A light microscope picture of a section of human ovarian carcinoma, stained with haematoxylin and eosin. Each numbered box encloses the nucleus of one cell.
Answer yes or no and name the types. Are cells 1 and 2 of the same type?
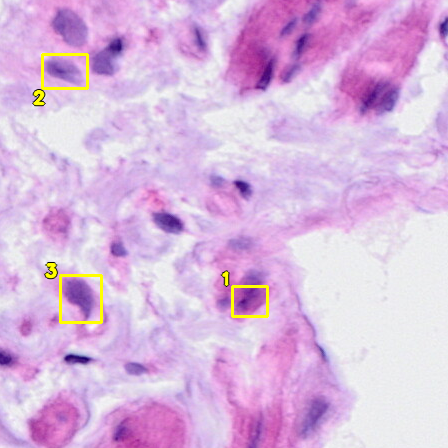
No, cell 1 is a smooth muscle cell; cell 2 is a fibroblast.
